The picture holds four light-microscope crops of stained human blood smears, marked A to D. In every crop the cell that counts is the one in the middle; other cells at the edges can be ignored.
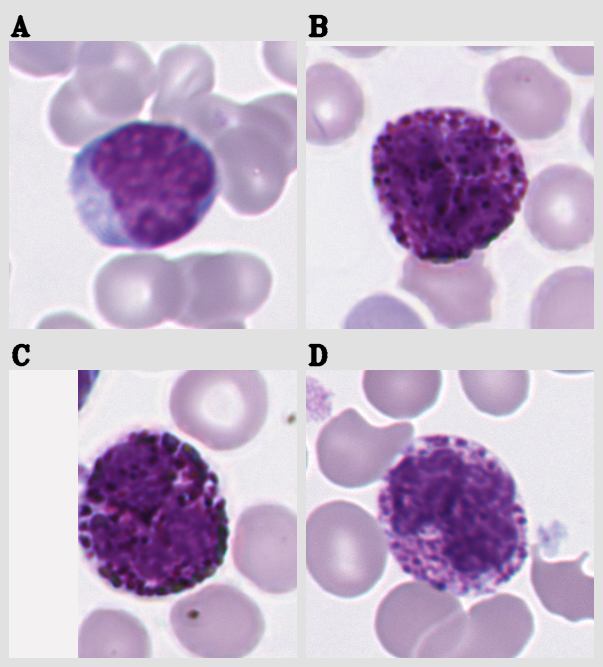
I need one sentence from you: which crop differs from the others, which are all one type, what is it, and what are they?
Crop A alone shows a typical lymphocyte; the other crops are all basophils.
